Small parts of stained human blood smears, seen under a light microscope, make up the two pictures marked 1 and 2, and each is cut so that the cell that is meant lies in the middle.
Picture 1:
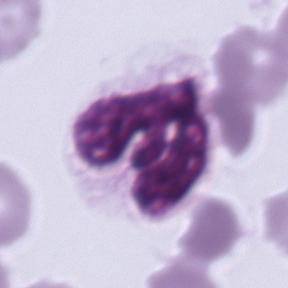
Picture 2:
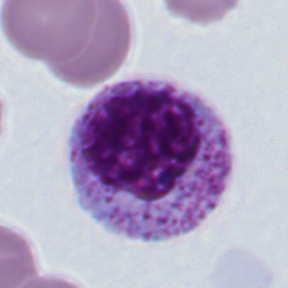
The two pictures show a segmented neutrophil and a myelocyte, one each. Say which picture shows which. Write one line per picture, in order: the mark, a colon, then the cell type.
1: segmented neutrophil
2: myelocyte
